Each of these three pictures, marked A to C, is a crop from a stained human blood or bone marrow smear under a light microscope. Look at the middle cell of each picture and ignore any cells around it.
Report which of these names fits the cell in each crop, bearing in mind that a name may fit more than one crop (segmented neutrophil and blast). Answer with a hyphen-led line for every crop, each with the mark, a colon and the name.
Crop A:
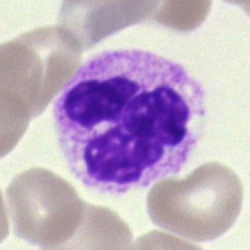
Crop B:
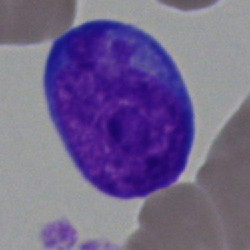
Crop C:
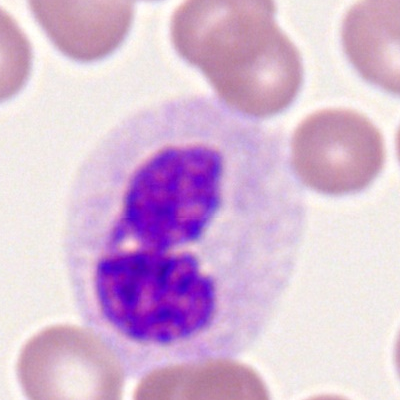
- A: segmented neutrophil
- B: blast
- C: segmented neutrophil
